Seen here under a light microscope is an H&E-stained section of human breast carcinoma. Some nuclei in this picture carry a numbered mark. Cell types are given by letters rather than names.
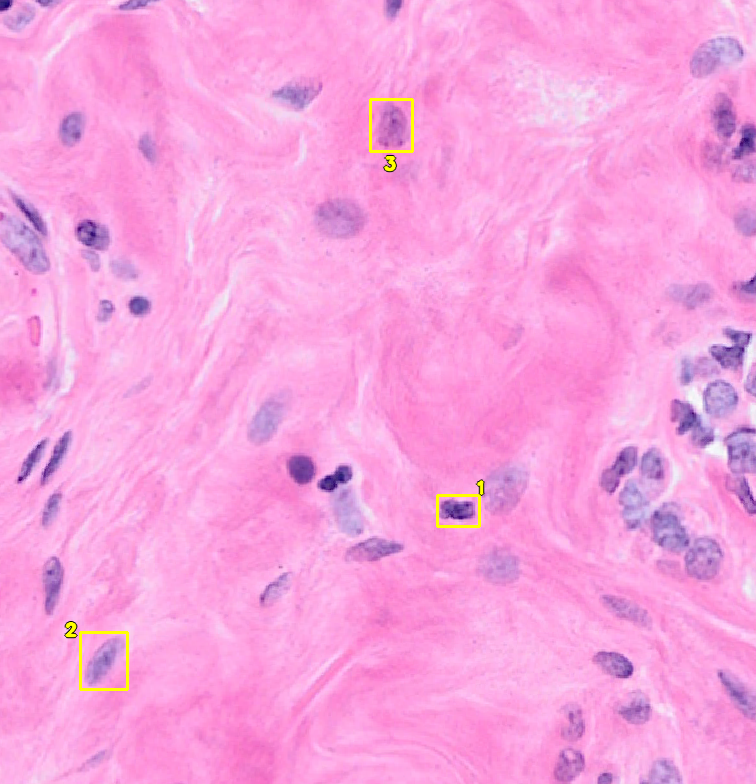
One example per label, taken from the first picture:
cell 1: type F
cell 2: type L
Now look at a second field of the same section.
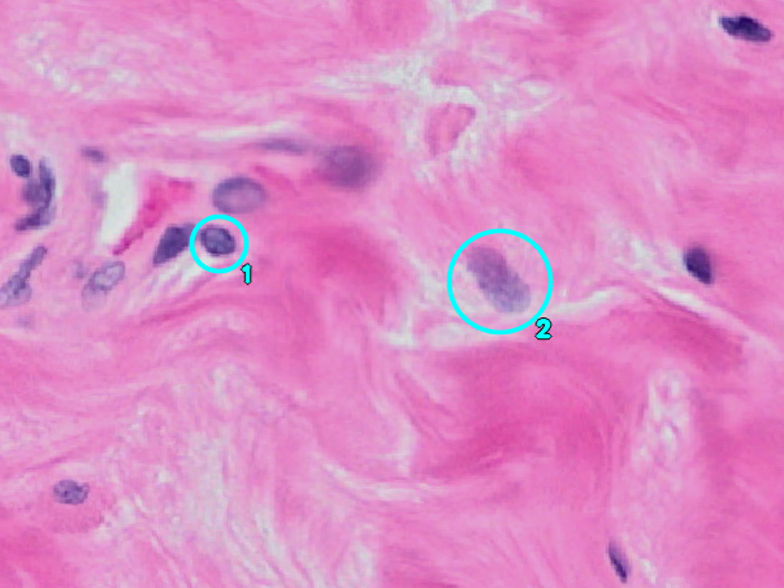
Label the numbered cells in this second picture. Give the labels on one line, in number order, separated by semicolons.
type F; type L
